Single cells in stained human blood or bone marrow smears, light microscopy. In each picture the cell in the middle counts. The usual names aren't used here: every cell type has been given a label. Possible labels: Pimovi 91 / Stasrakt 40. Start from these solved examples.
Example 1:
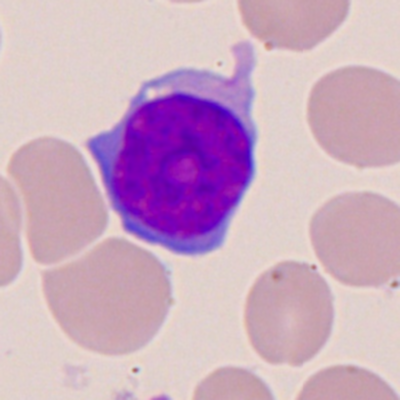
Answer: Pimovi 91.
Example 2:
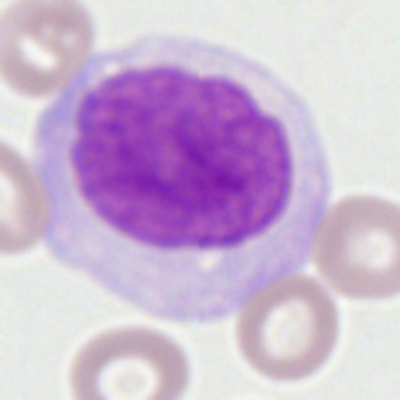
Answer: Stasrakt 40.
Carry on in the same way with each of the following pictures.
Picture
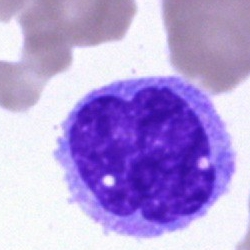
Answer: Stasrakt 40.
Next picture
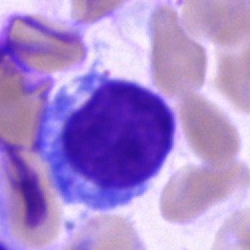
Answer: Pimovi 91.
